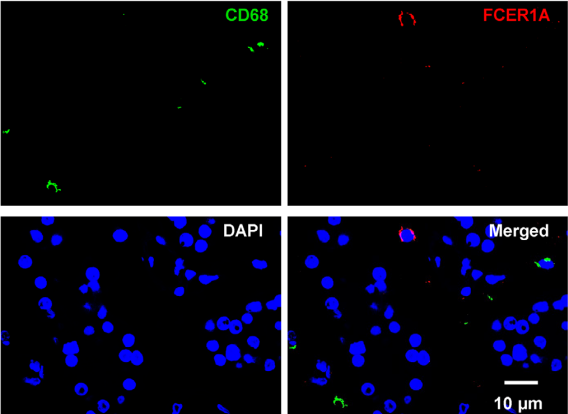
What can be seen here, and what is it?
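The nuclei are spread loosely across the field rather than packed into a continuous sheet. In the green channel, only a few small, irregular cells or fragments are stained. They lie apart from one another. In the red channel, one cell near the top of the field carries a bright, curved rim of red around its nucleus. Elsewhere in the red channel there are only a few faint dots.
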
